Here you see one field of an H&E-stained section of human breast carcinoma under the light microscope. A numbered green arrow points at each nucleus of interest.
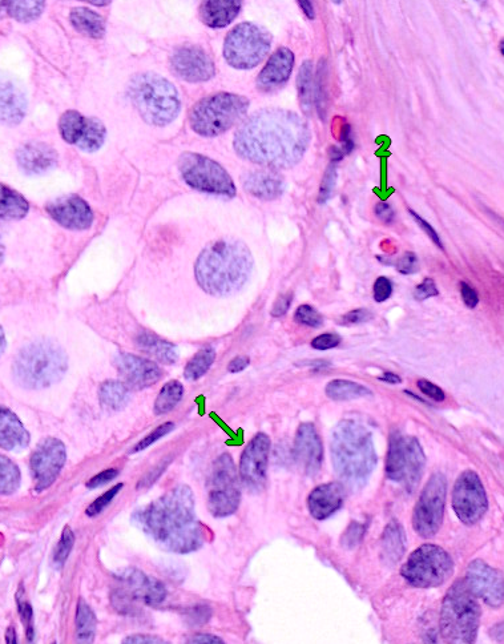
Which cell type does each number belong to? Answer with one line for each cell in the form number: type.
1: carcinoma cell
2: mast cell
